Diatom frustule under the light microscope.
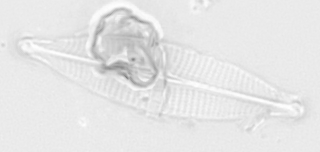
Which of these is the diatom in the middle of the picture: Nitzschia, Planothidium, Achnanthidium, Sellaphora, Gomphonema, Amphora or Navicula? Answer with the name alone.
Navicula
